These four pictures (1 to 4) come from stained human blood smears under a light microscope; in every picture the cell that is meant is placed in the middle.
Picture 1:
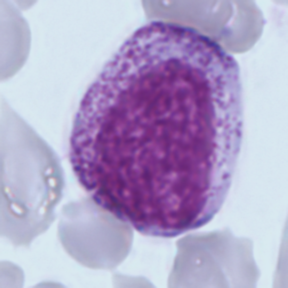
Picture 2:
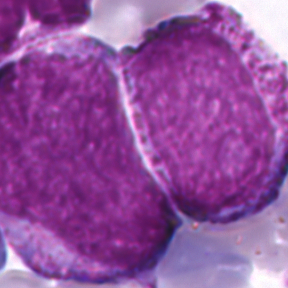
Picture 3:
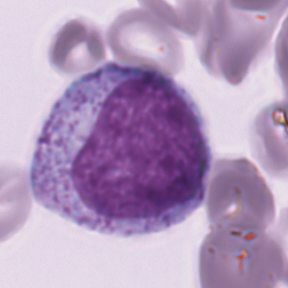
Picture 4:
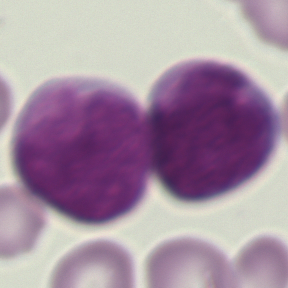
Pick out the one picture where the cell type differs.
4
